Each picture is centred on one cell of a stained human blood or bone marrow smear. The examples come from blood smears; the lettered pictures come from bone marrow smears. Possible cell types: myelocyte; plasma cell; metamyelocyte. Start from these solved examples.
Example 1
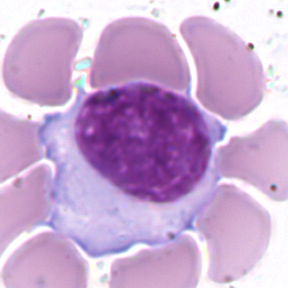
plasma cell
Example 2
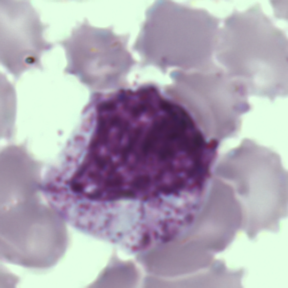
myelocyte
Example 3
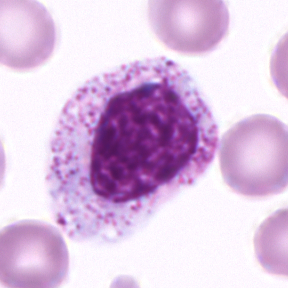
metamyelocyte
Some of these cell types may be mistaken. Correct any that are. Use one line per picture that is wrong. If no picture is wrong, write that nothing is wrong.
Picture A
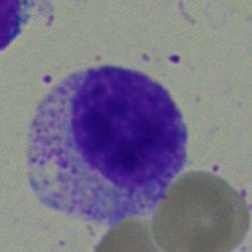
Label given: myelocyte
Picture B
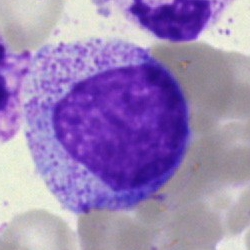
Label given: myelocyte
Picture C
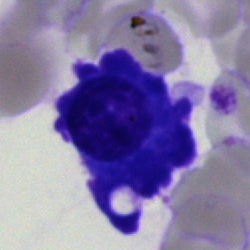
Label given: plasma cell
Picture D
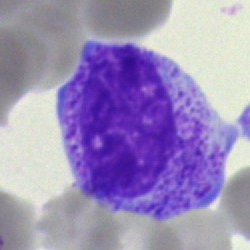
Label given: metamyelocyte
D: change metamyelocyte to myelocyte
